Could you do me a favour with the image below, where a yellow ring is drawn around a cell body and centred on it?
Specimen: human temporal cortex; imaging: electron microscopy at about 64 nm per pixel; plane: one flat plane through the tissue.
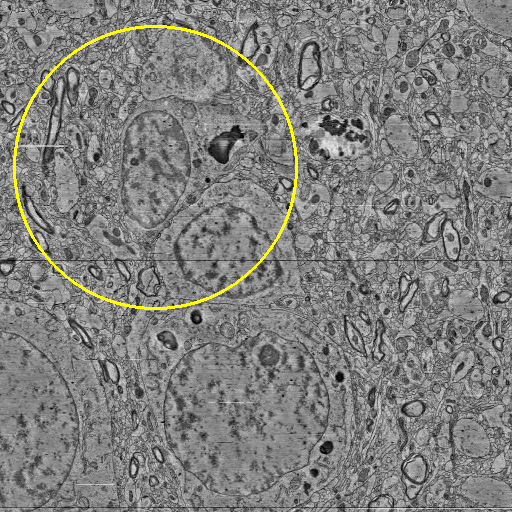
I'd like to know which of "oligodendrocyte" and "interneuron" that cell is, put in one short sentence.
The cell at the ring's centre is an oligodendrocyte.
